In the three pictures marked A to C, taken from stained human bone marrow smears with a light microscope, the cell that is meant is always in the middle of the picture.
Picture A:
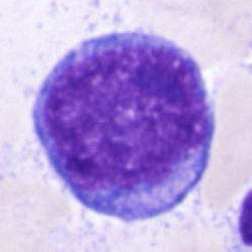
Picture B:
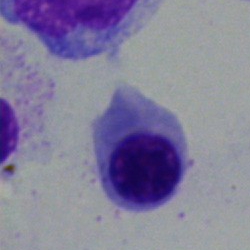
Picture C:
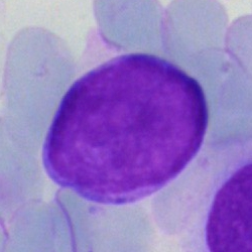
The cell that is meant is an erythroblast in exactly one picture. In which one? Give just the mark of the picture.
B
